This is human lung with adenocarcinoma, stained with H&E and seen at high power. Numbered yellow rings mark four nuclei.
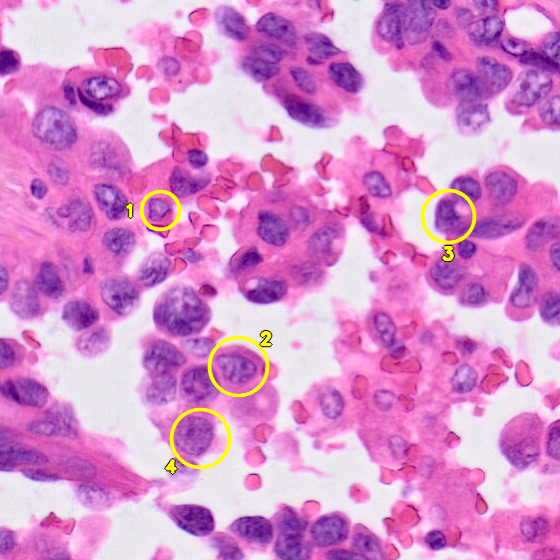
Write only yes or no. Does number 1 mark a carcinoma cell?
no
